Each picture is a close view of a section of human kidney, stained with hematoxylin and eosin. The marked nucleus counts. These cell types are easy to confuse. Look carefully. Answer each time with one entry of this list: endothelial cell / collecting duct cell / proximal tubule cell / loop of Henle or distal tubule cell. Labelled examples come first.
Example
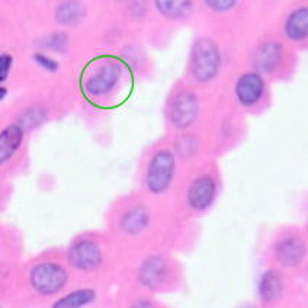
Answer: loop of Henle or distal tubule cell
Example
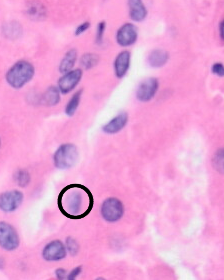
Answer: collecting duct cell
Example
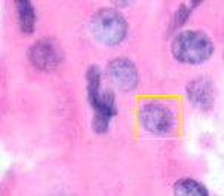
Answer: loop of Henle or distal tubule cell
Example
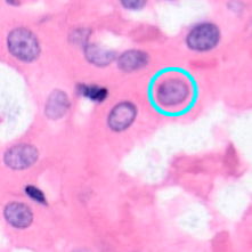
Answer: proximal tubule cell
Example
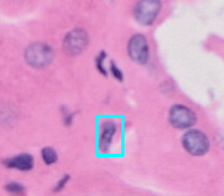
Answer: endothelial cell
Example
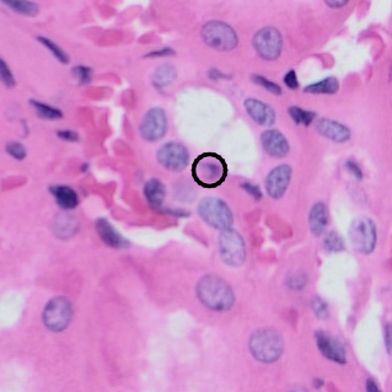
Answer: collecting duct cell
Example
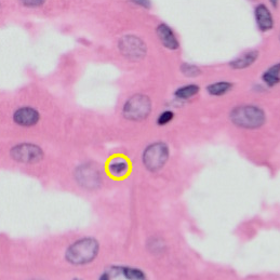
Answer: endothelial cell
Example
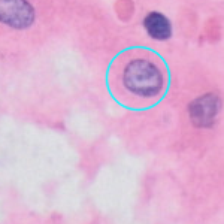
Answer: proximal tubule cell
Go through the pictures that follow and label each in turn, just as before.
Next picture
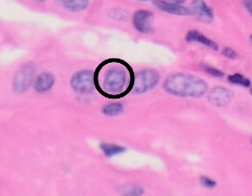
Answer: collecting duct cell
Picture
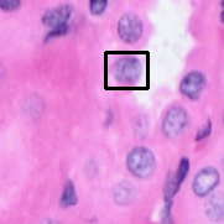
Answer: loop of Henle or distal tubule cell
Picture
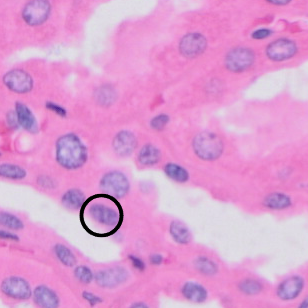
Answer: collecting duct cell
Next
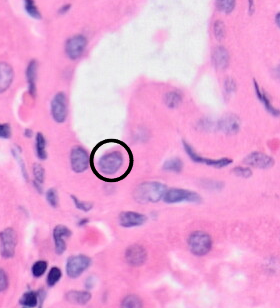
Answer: loop of Henle or distal tubule cell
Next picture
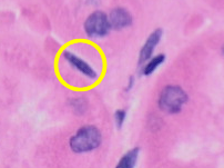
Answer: endothelial cell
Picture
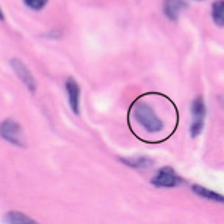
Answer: endothelial cell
